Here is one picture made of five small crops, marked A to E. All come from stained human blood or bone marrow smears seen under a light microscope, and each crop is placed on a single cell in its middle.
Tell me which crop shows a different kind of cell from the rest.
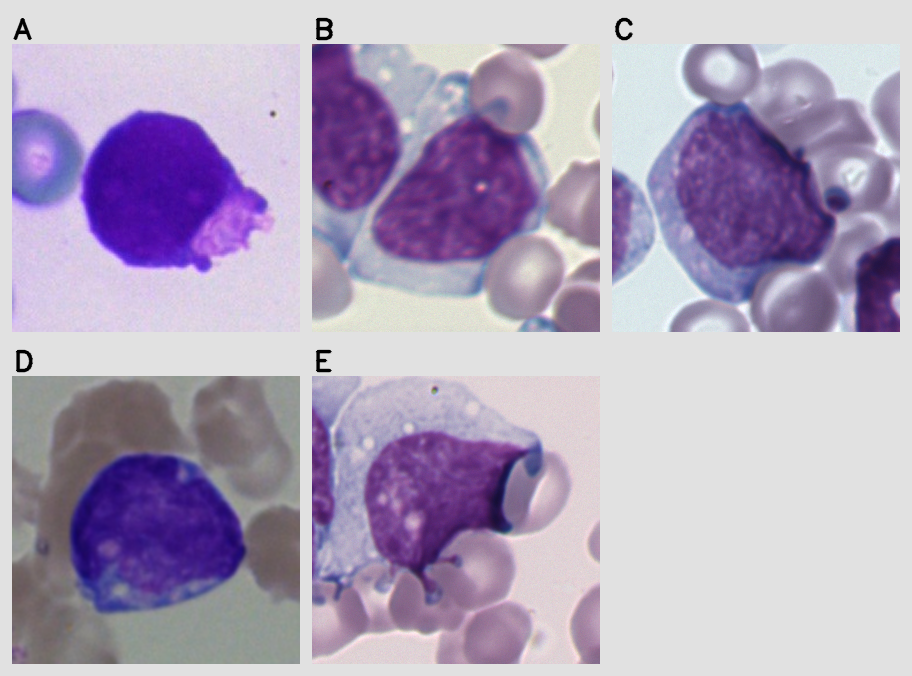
C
